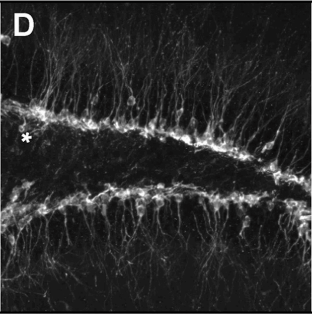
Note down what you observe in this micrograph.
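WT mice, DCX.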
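Low-magnification view of the dentate gyrus, with densely packed labeled immature neurons forming two bright bands along the inner edge of the granule cell layer of each blade. Numerous fine dendrites project in parallel from these cells outward across the layer, and the hilus between the blades contains very few labeled cells.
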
